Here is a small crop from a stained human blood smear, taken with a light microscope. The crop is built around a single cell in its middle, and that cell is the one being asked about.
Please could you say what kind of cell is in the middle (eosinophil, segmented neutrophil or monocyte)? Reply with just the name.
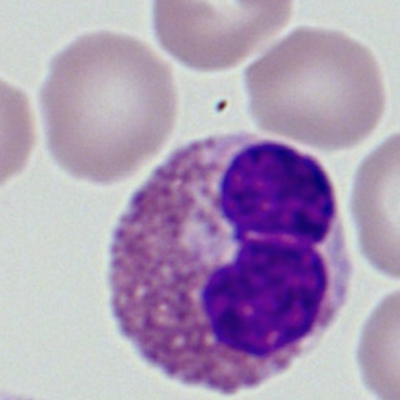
eosinophil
